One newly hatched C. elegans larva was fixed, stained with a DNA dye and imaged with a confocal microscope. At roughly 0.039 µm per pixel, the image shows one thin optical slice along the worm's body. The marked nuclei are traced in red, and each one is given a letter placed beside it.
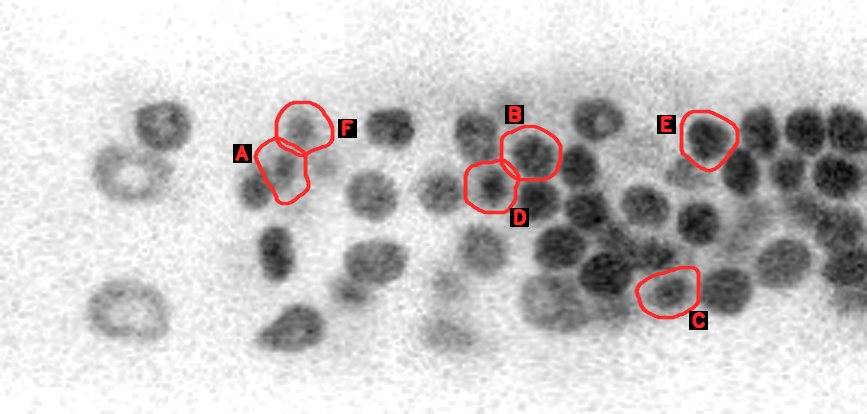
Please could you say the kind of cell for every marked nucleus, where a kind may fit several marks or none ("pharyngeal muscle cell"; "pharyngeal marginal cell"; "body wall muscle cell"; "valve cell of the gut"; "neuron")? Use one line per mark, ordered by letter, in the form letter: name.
A: valve cell of the gut
B: neuron
C: neuron
D: pharyngeal muscle cell
E: neuron
F: body wall muscle cell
